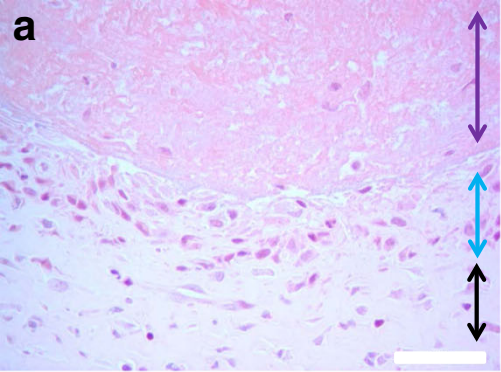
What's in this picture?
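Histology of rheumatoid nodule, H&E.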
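The upper part of the field is a broad zone of pink, glassy, finely granular material with almost no intact nuclei, which is fibrinoid necrosis. Its curved lower border is lined by a band of elongated cells with oval, purple nuclei. A few small, dark, round nuclei are also scattered through this lower zone.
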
